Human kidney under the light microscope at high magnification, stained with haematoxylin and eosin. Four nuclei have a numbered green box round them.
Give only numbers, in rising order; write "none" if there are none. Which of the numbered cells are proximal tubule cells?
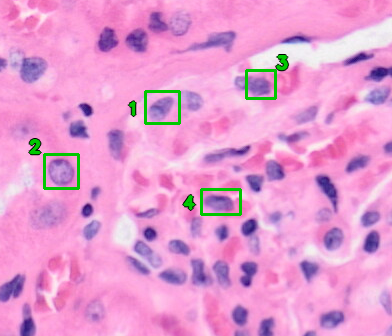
2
